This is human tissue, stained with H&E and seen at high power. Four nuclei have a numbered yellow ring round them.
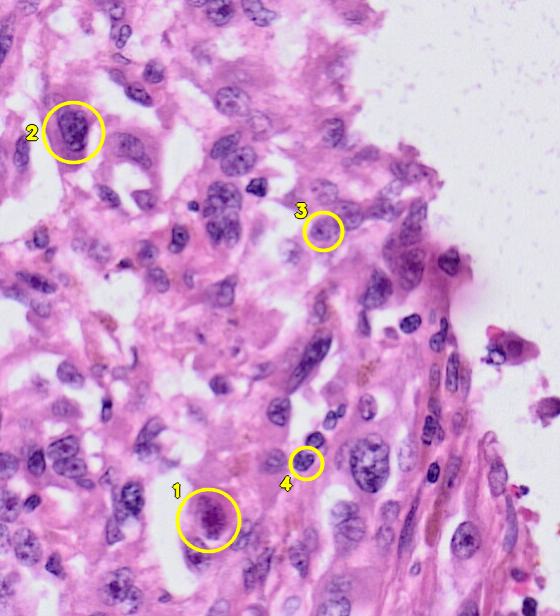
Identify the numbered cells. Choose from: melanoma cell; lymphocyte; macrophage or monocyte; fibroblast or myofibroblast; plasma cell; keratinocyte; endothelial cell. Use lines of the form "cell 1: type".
cell 1: melanoma cell
cell 2: melanoma cell
cell 3: melanoma cell
cell 4: lymphocyte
